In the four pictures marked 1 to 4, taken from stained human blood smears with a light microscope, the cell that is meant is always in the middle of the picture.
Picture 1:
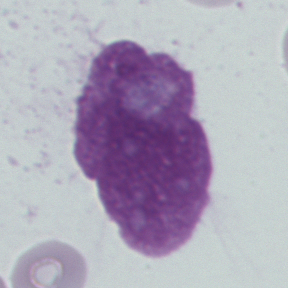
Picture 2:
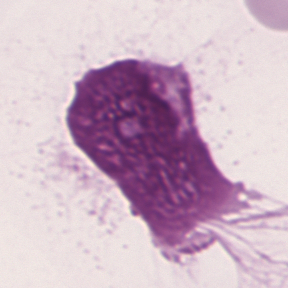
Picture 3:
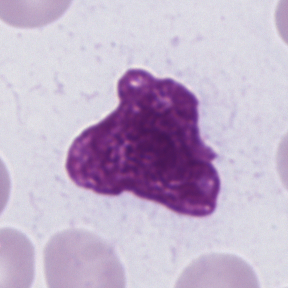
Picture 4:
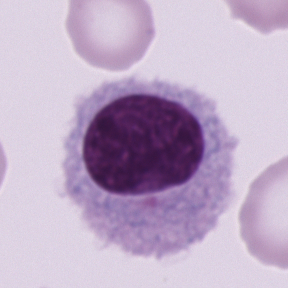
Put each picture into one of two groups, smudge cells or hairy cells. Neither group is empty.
1: smudge cell
2: smudge cell
3: smudge cell
4: hairy cell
